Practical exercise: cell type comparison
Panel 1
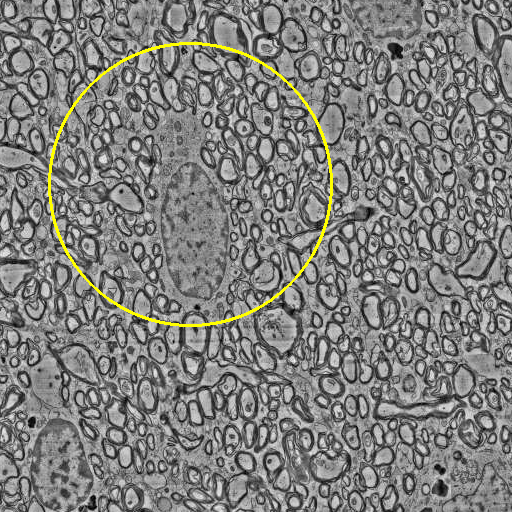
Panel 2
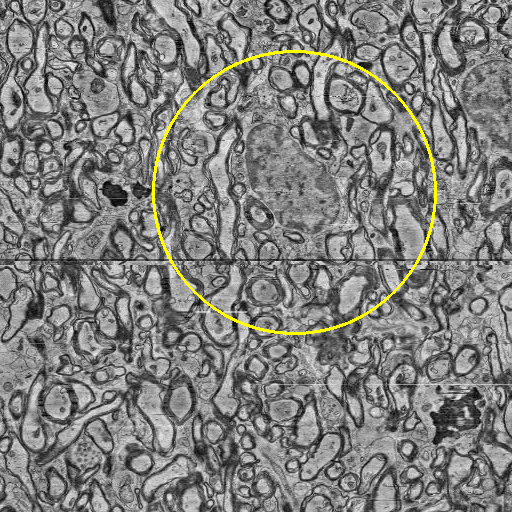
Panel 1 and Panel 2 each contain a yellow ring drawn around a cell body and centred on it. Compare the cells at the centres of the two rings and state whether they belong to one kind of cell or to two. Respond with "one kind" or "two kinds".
two kinds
